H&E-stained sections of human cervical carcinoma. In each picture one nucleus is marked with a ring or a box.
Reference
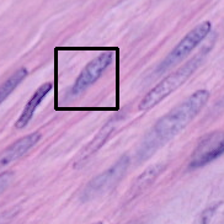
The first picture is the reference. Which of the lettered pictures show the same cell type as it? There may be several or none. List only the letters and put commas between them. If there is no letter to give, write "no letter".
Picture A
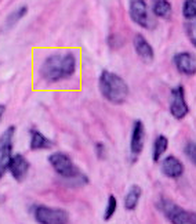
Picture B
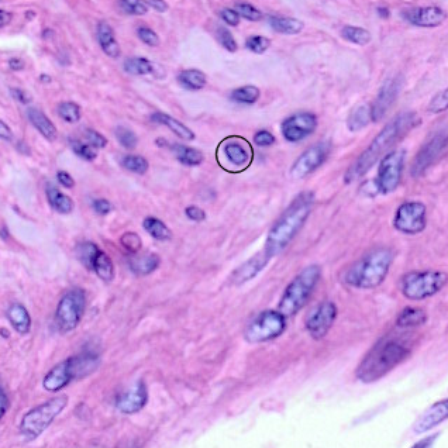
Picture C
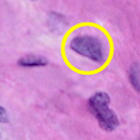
A, B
